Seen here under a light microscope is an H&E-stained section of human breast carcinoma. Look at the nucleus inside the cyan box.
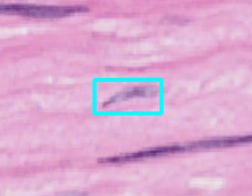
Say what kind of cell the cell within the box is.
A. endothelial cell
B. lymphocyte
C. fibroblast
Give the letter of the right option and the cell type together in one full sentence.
Option C is the correct one: the cell within the box is a fibroblast.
